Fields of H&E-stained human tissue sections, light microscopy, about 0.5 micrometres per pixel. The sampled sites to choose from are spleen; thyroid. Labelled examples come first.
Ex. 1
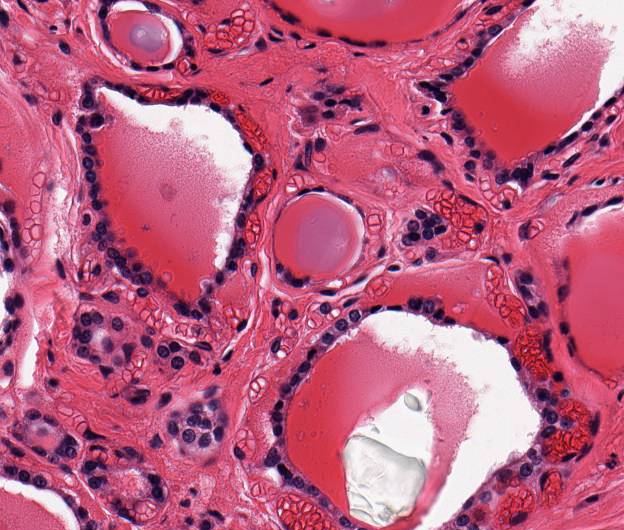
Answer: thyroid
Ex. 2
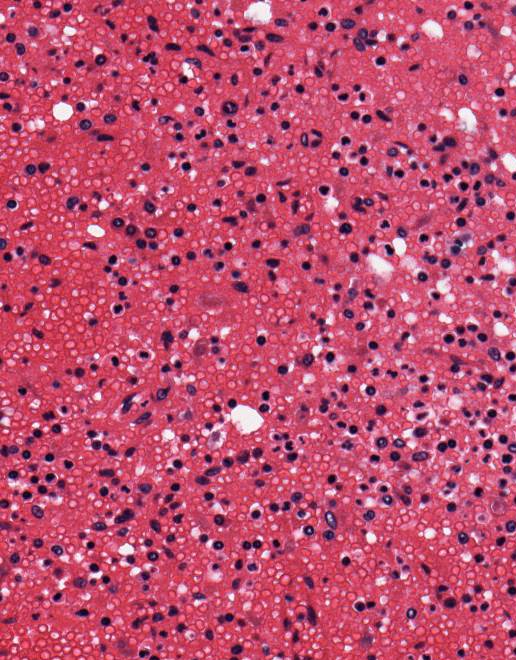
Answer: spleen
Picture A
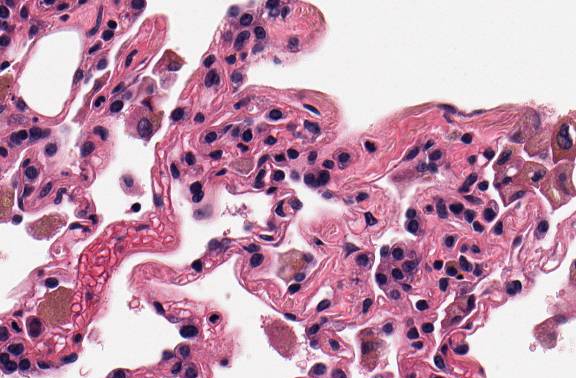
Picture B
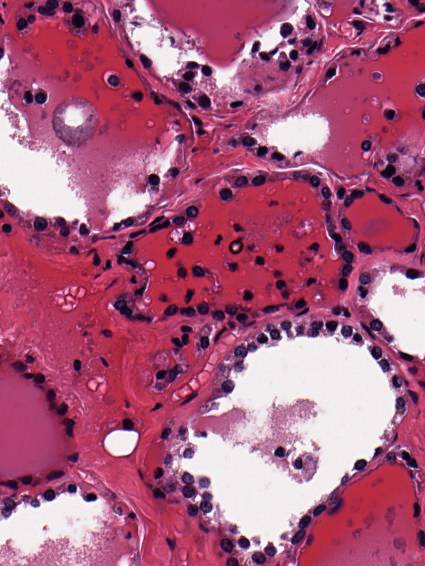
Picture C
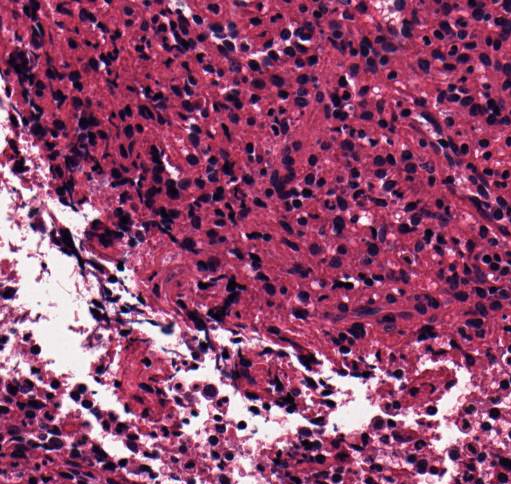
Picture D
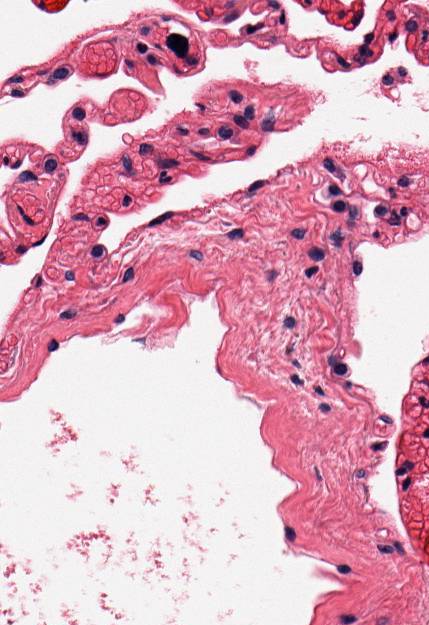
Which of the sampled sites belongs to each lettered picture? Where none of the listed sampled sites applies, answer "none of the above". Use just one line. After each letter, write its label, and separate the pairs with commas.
A none of the above, B thyroid, C spleen, D none of the above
